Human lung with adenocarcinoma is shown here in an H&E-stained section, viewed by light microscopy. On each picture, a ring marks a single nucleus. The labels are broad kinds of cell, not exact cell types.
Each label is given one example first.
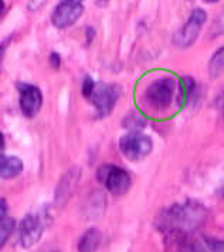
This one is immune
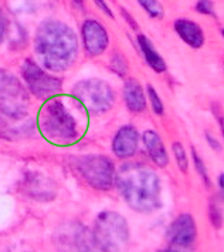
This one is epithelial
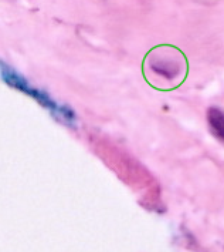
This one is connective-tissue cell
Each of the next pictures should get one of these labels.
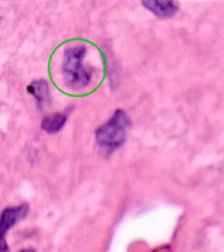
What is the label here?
connective-tissue cell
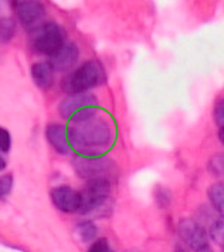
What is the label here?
epithelial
